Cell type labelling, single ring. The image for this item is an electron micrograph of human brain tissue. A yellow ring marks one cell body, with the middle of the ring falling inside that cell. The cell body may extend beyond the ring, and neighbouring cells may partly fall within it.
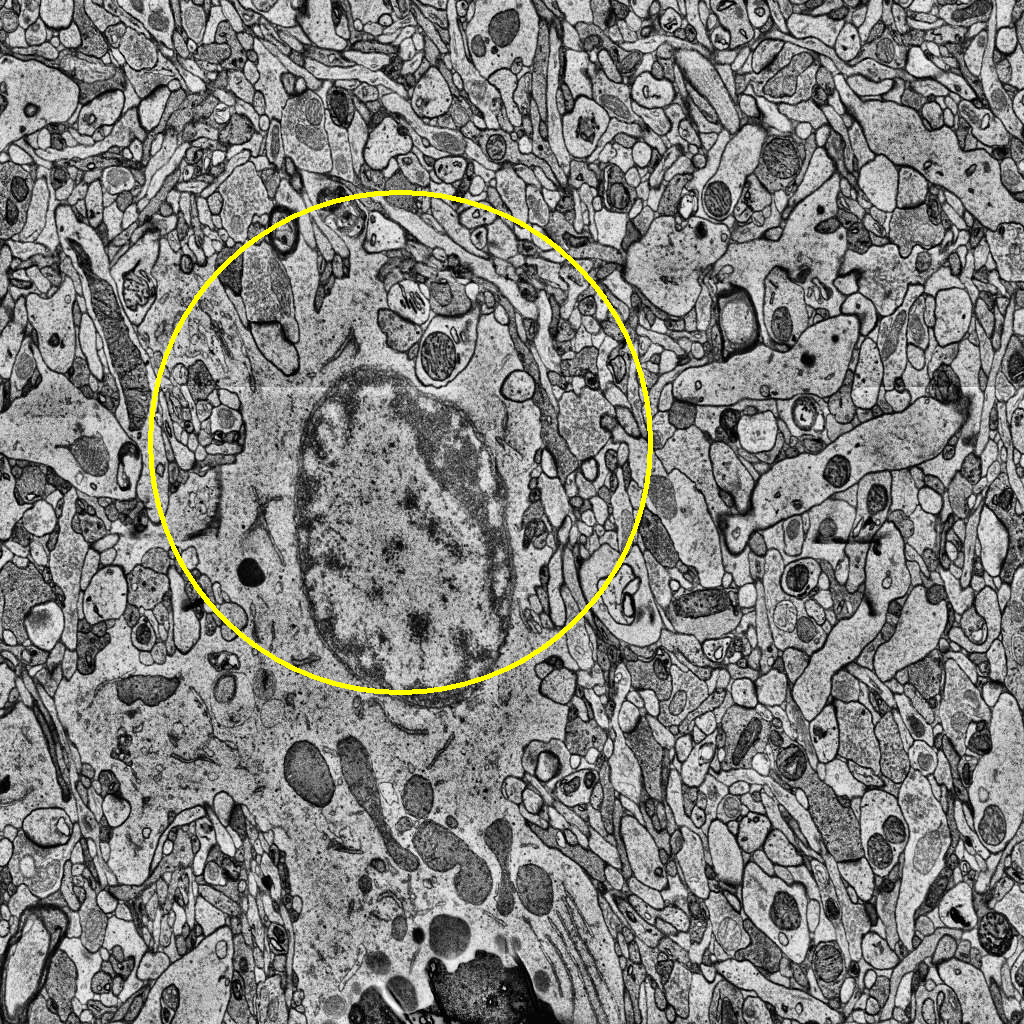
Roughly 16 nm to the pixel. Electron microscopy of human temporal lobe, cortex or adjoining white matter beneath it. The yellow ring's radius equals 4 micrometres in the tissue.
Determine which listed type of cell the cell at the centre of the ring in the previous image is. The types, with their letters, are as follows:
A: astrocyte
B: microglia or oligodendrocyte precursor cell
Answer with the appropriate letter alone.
A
